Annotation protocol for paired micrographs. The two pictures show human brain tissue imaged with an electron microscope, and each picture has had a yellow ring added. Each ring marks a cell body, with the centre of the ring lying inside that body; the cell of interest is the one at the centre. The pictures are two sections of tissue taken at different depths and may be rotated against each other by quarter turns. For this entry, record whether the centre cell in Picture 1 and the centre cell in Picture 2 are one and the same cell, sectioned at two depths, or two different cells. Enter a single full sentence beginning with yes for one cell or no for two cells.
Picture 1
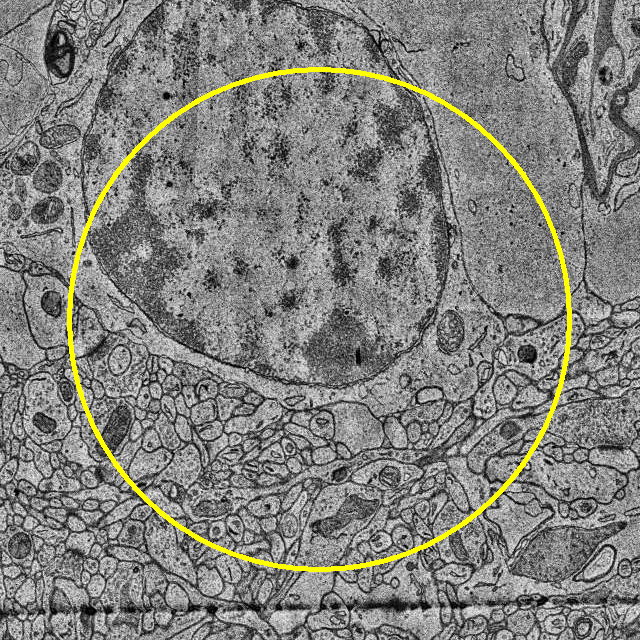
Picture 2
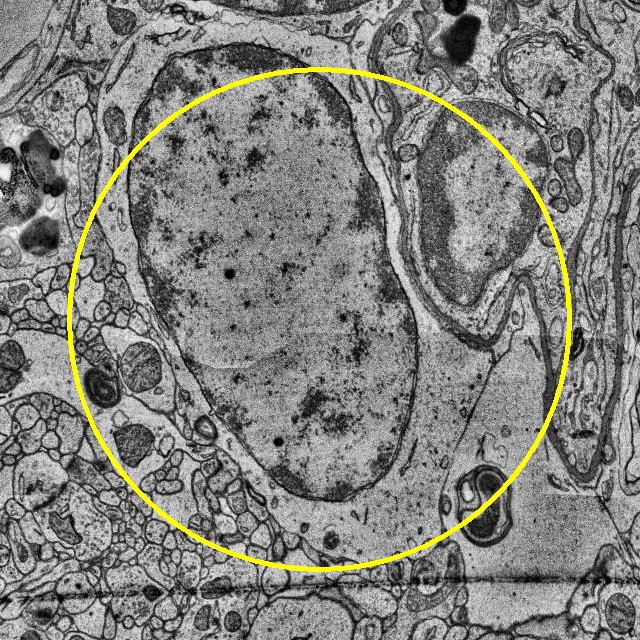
Yes, the same individual cell is enclosed by both rings.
